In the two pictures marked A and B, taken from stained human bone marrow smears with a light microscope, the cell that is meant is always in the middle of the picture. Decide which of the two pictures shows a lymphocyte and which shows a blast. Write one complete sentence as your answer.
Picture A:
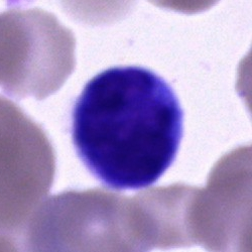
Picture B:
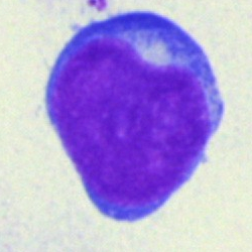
It is picture A that shows a lymphocyte, and picture B that shows a blast.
